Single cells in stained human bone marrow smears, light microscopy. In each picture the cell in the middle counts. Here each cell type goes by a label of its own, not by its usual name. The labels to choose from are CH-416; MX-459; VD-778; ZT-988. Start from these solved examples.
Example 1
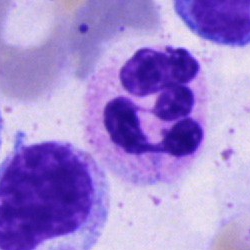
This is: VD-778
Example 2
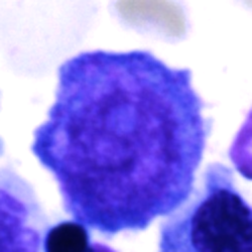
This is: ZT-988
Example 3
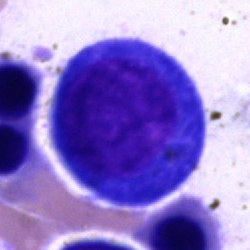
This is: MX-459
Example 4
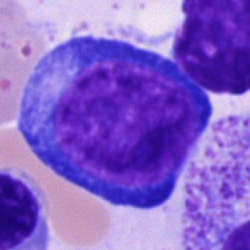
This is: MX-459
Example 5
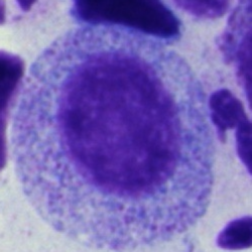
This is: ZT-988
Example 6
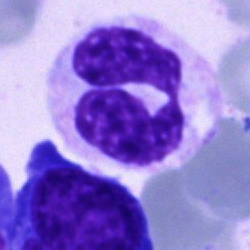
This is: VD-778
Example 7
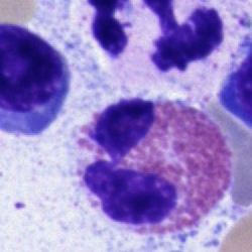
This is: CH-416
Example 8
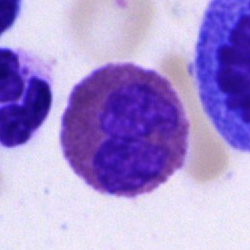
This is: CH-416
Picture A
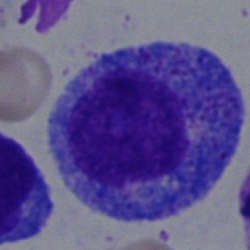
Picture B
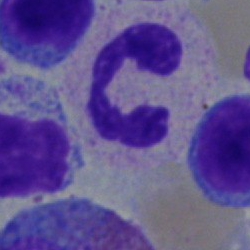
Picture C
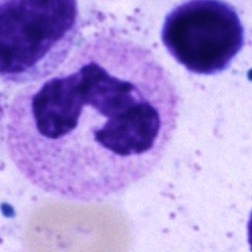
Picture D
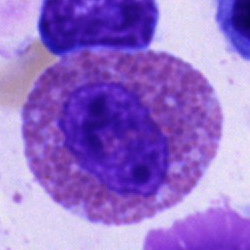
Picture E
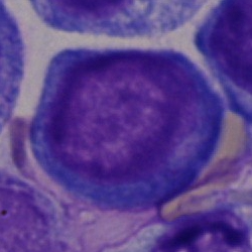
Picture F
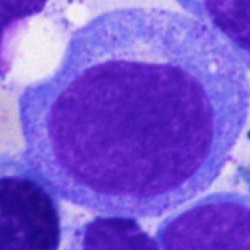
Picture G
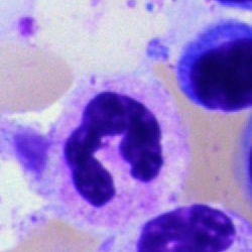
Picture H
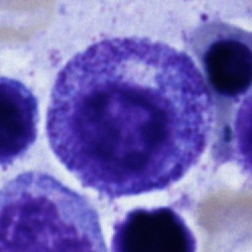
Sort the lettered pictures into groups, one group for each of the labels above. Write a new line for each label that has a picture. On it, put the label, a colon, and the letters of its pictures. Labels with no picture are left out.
CH-416: D
MX-459: E
VD-778: B, C, G
ZT-988: A, F, H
